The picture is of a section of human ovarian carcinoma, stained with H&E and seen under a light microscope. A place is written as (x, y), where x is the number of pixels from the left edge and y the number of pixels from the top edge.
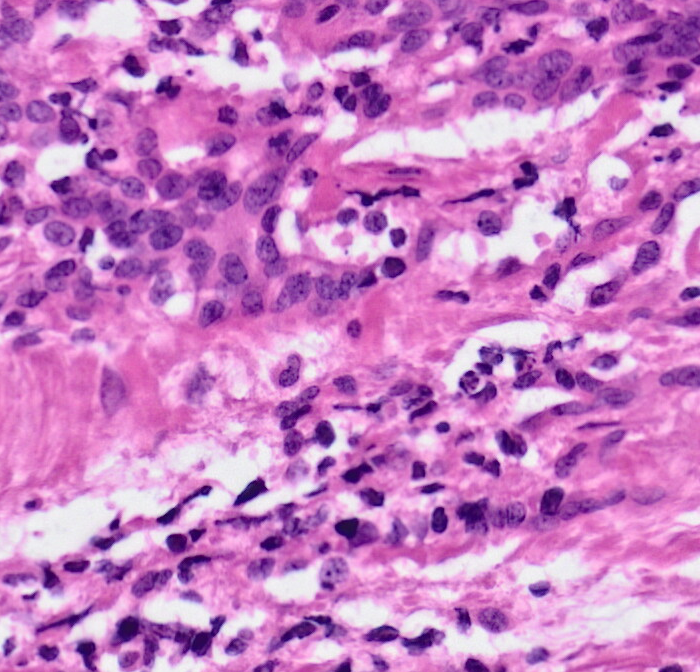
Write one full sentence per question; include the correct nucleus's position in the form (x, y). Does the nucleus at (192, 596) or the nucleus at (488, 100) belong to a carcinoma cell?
The nucleus whose position is (488, 100) belongs to a carcinoma cell.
